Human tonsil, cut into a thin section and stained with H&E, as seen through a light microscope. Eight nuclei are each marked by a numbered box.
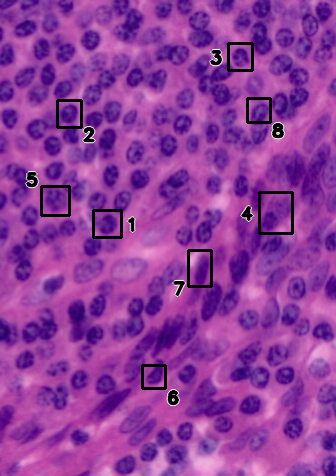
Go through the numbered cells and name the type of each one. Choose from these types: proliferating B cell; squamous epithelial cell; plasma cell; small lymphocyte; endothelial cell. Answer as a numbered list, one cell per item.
1. plasma cell
2. plasma cell
3. plasma cell
4. squamous epithelial cell
5. plasma cell
6. squamous epithelial cell
7. squamous epithelial cell
8. plasma cell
